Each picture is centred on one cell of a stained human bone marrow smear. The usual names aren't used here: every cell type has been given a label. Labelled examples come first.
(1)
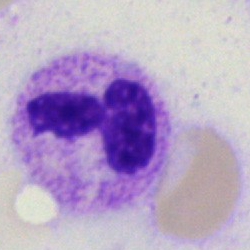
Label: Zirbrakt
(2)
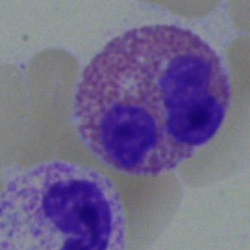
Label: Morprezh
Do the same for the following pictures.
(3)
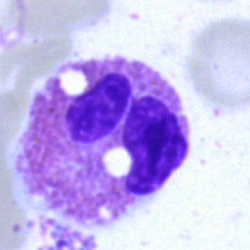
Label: Morprezh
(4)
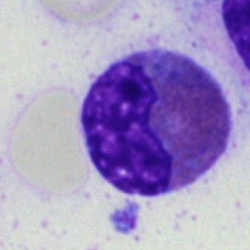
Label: Morprezh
